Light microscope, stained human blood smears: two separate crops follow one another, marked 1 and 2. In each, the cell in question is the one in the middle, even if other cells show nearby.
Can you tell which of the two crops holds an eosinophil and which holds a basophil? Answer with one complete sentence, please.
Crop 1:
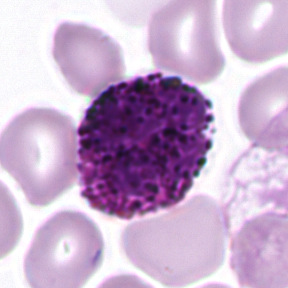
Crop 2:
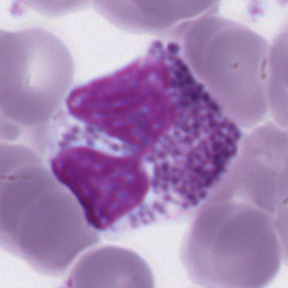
Crop 1 is a basophil, and, separately, crop 2 is an eosinophil.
